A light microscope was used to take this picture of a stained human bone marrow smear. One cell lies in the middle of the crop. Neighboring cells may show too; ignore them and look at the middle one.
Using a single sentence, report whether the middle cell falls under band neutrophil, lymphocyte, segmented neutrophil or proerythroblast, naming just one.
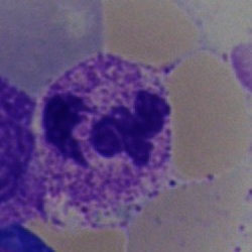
The cell of interest, in the center, is a segmented neutrophil.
